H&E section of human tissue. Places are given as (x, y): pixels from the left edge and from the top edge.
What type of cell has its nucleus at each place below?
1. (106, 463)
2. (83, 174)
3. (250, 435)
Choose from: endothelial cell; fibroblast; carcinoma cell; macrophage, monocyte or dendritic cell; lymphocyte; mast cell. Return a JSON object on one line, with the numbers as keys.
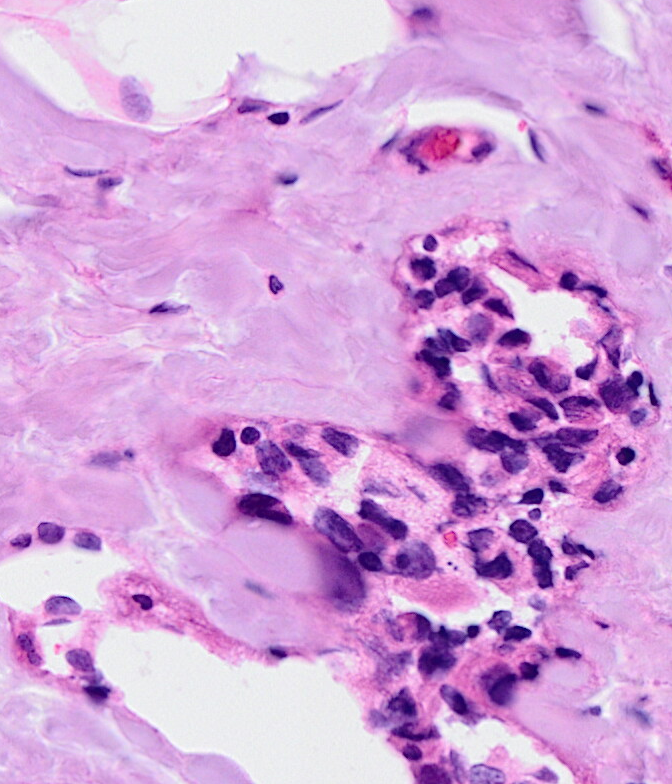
{"1": "fibroblast", "2": "fibroblast", "3": "lymphocyte"}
